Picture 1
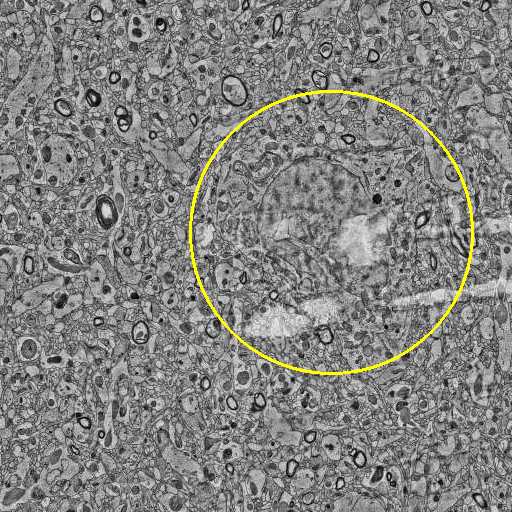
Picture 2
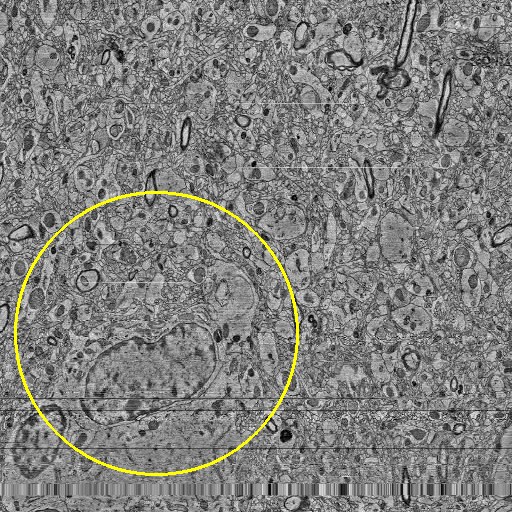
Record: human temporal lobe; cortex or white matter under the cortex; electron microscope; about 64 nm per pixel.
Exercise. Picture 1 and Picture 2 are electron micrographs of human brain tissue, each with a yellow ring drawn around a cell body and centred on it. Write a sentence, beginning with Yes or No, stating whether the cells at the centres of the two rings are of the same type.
No, the cells at the centres of the rings are of two types.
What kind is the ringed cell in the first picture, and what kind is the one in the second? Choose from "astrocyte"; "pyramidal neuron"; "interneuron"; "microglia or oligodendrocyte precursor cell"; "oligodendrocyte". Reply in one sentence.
The first cell is an interneuron; the second is a microglial cell or oligodendrocyte precursor cell.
